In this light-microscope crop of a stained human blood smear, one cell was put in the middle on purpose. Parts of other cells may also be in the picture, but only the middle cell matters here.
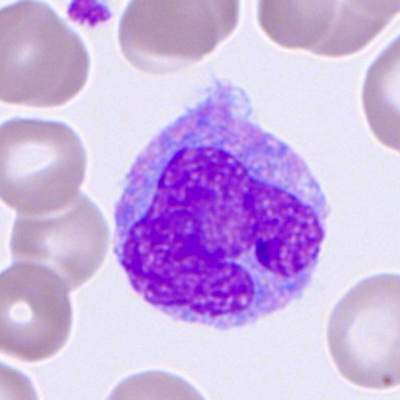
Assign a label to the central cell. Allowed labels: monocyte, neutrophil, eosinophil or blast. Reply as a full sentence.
In short, the cell at the center is a monocyte.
